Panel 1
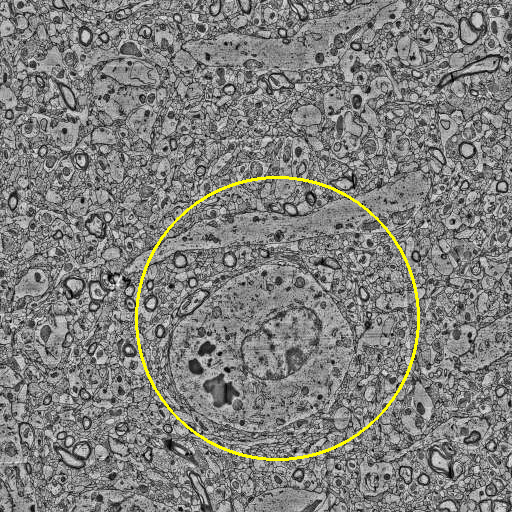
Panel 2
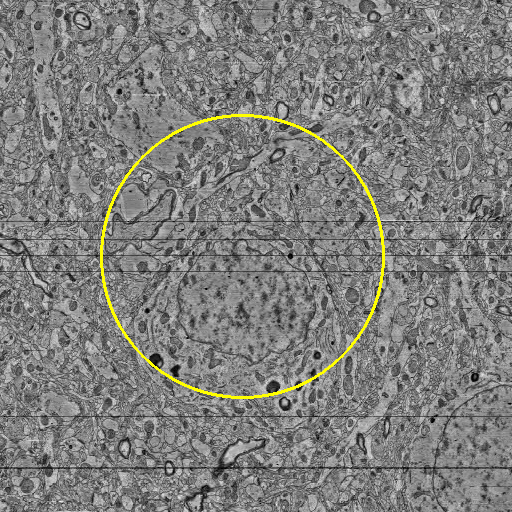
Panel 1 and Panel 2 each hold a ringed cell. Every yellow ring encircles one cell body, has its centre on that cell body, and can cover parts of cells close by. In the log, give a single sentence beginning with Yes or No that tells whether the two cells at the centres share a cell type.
Yes, in Panel 1 and Panel 2 the centred cells share a cell type.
